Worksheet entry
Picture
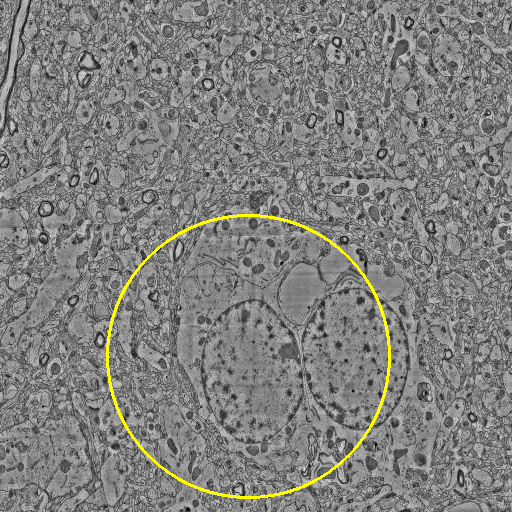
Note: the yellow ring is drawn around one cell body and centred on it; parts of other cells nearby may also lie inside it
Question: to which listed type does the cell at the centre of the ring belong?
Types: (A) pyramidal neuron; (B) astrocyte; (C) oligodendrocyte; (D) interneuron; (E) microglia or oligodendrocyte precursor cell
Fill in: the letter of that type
B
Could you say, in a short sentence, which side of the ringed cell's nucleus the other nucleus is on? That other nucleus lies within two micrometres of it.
The other nucleus appears to the upper right of it.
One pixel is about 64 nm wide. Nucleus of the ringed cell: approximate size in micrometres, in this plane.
In this plane the nucleus measures roughly 9 by 7 micrometers.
